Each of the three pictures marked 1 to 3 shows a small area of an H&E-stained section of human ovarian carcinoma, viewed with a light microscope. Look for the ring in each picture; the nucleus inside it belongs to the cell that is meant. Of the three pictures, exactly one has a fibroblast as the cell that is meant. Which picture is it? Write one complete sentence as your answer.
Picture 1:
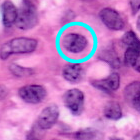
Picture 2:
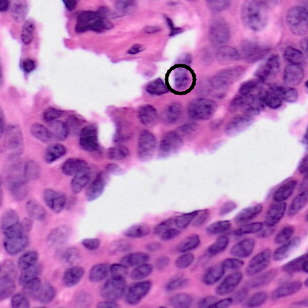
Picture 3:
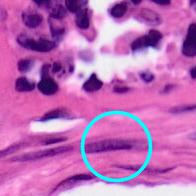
The fibroblast is the one in picture 3.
